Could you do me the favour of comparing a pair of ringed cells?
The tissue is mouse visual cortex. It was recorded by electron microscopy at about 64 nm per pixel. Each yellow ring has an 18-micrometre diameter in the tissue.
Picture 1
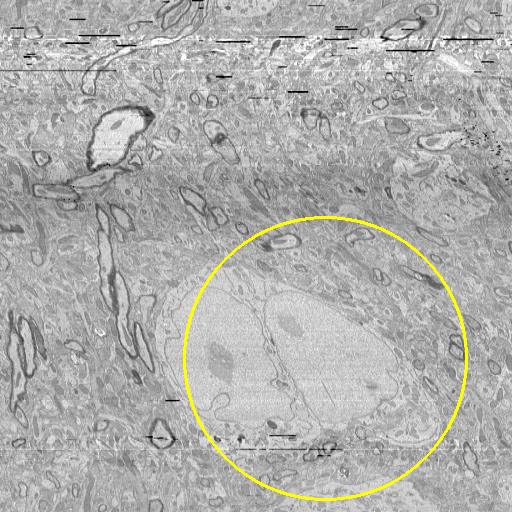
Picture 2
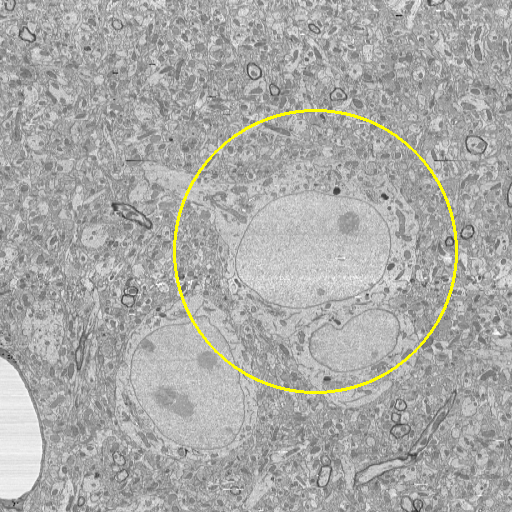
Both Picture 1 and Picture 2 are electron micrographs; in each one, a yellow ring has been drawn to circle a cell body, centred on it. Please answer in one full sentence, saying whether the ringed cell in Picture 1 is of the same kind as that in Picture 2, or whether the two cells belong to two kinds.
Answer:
The ringed cells in Picture 1 and Picture 2 belong to two kinds.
